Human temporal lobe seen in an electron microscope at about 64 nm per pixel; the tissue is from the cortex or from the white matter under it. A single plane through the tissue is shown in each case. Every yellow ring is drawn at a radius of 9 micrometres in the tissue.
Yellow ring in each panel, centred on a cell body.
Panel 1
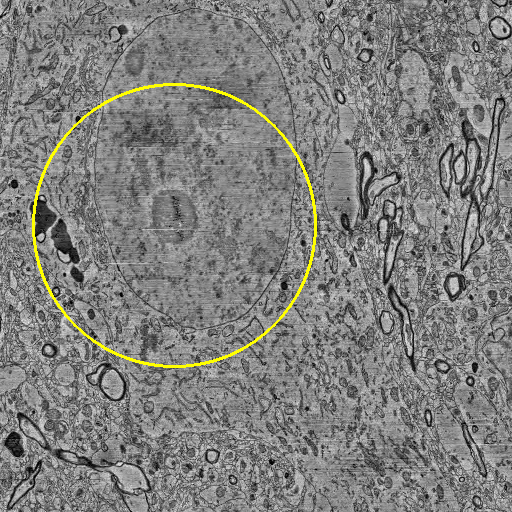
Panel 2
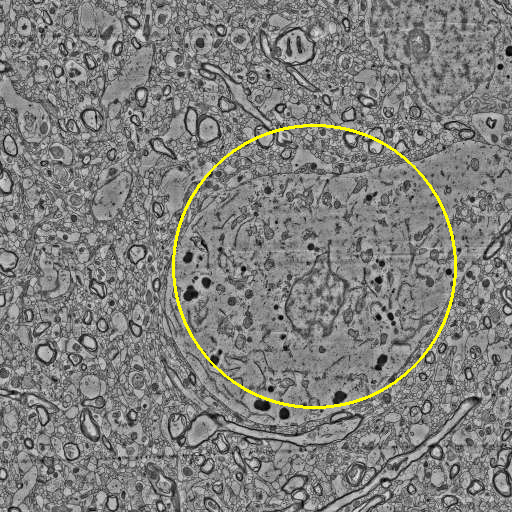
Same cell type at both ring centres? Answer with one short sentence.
Yes, both cells are of the same type.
